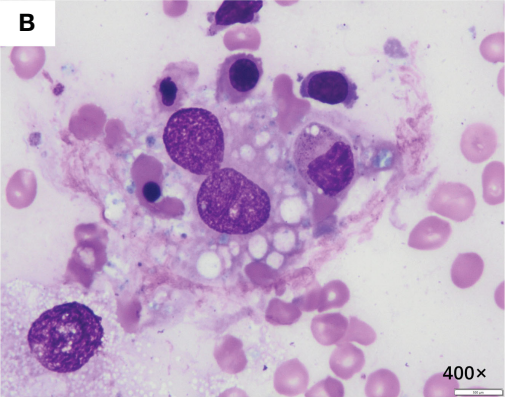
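Bone marrow smear with a large hemophagocyte whose abundant pale cytoplasm is filled with clear vacuoles and holds small dark nuclei and red cells. Nearby lie a few other nucleated marrow cells with round purple nuclei among many red cells.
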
